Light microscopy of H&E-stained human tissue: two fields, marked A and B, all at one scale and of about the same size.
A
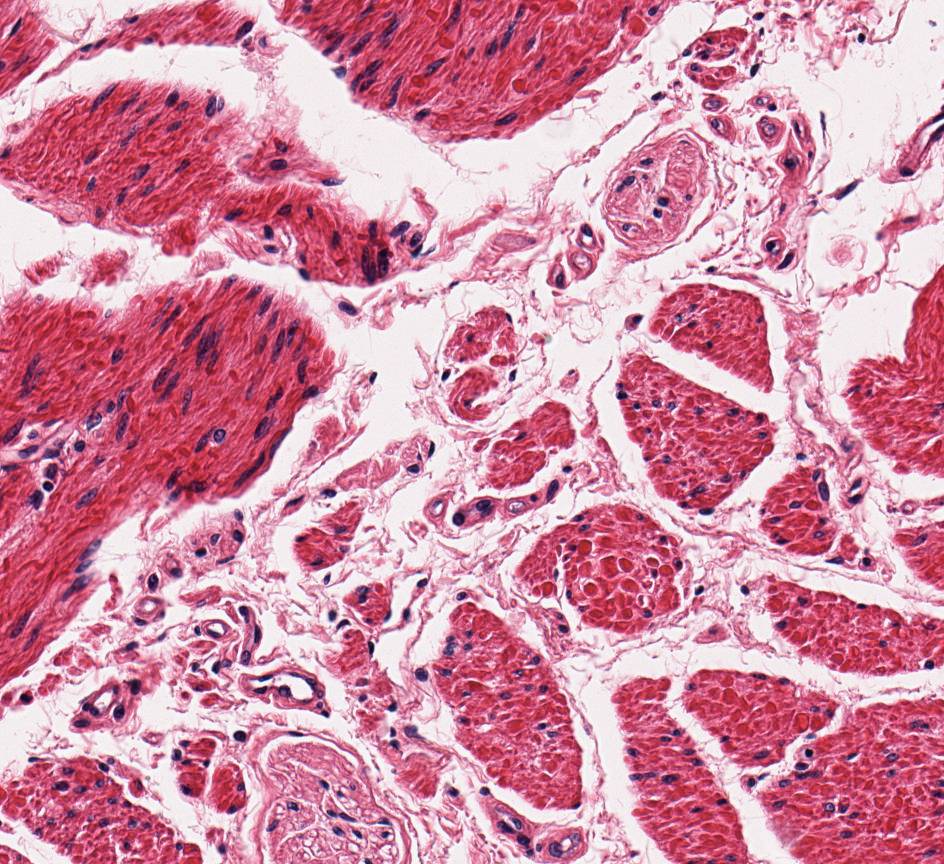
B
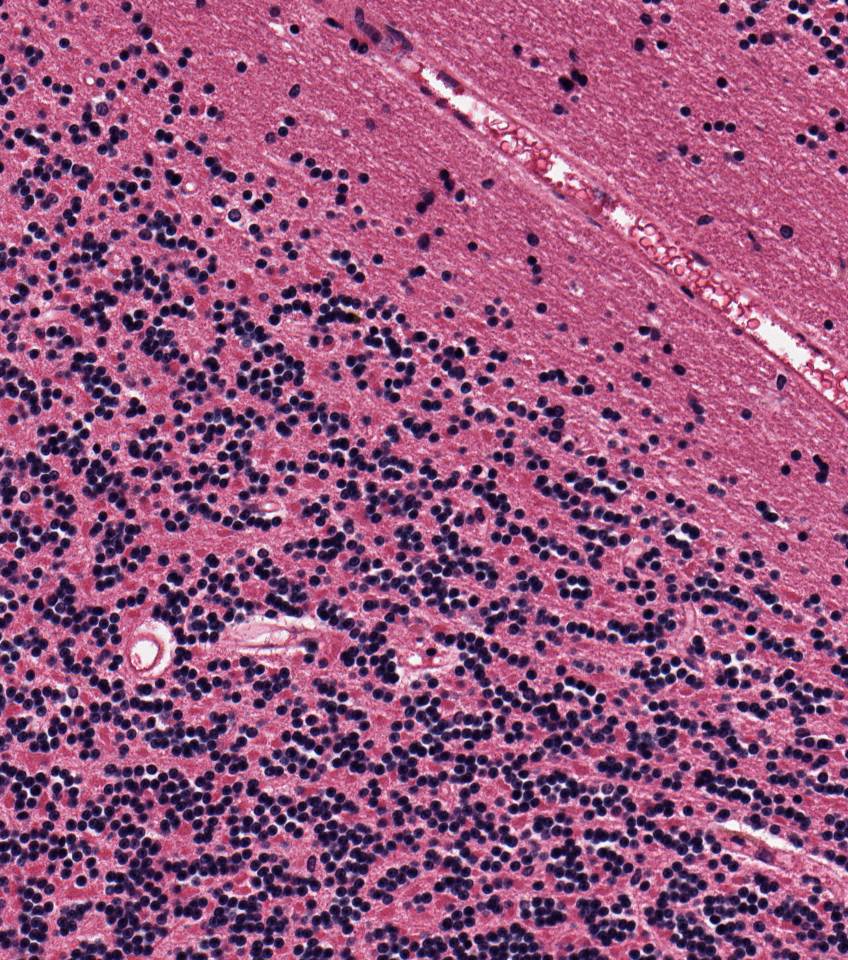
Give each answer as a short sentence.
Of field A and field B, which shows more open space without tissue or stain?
More of field A is empty and white.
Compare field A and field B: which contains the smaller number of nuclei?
There are fewer nuclei in field A.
